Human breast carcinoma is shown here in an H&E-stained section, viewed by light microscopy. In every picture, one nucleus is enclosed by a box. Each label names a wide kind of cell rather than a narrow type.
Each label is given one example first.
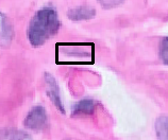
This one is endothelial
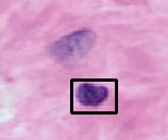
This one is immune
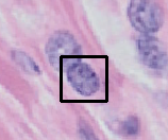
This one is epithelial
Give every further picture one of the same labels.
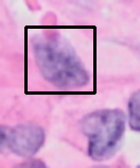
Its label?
endothelial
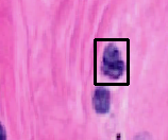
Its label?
immune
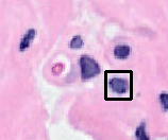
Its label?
immune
